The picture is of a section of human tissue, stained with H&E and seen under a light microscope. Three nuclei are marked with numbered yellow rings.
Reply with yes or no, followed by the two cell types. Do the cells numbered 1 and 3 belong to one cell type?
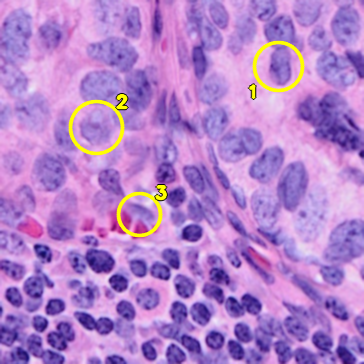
No, cell 1 is a carcinoma cell, while an endothelial cell is what cell 3 is.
